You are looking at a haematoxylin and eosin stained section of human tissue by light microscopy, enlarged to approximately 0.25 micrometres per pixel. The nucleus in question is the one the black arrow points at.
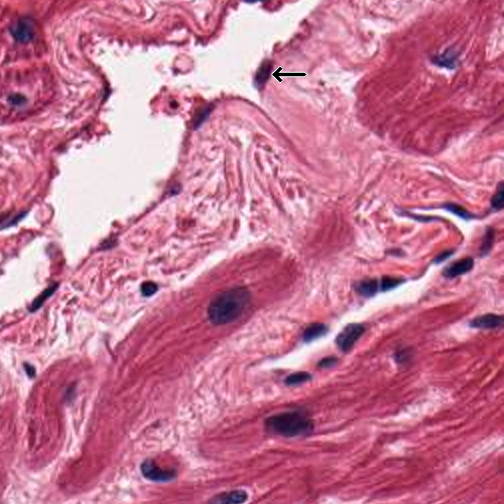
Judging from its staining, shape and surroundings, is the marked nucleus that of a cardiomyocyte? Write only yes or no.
no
